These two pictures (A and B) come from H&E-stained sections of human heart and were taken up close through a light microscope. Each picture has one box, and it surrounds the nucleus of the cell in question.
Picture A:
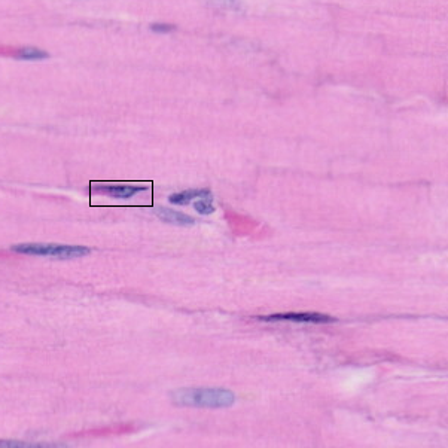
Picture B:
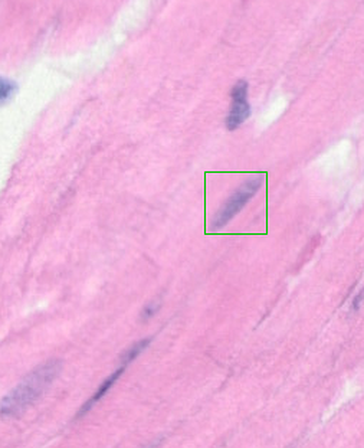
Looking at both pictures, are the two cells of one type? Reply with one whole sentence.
No; the cell in picture A is an endothelial cell, while the one in picture B is a cardiomyocyte.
